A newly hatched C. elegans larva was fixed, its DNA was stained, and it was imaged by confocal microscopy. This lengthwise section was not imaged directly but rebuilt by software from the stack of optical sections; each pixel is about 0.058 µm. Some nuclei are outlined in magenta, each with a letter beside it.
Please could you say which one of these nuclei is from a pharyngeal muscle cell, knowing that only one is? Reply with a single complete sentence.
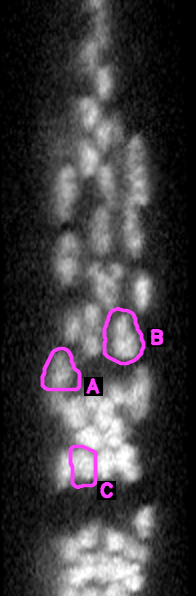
B is from a pharyngeal muscle cell.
